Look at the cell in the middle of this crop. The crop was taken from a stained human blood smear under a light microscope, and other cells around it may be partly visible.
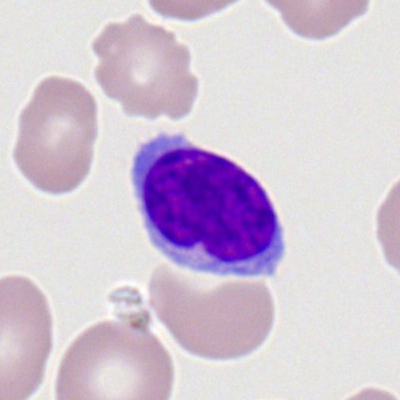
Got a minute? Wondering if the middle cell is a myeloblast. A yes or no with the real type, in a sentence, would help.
No, what is seen at the centre is a lymphocyte instead of a myeloblast.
